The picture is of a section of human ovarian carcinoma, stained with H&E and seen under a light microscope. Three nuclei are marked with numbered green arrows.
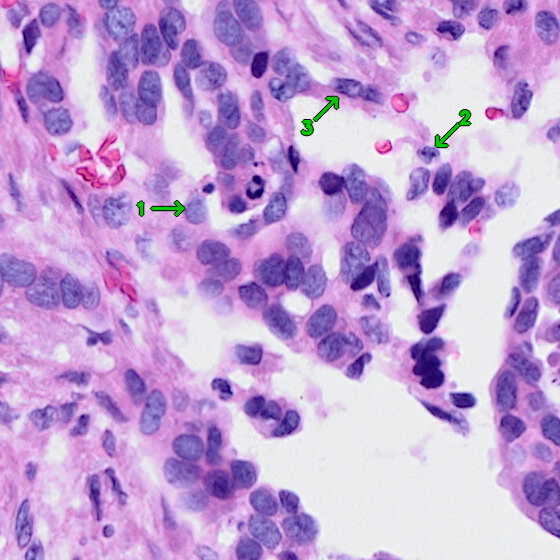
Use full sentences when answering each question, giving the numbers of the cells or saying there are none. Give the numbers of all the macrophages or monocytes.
Only cell 3 is a macrophage or monocyte; none of the other numbered cells is.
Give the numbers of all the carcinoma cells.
The nucleus labelled 1 alone belongs to a carcinoma cell; the other marked nuclei do not.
